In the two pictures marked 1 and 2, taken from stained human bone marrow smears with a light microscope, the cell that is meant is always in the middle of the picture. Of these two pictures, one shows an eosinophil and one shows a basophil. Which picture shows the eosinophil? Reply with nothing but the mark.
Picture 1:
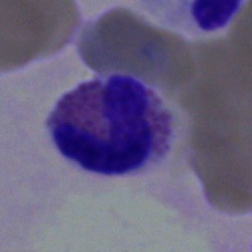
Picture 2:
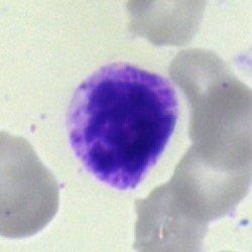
1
